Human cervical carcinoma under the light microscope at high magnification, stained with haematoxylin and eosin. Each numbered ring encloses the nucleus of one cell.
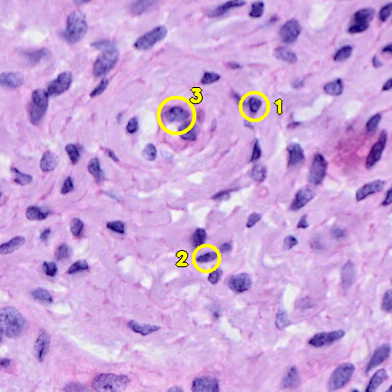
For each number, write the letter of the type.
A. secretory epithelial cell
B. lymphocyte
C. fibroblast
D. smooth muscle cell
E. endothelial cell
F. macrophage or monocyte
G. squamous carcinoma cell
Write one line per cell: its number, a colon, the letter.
1: C
2: C
3: E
